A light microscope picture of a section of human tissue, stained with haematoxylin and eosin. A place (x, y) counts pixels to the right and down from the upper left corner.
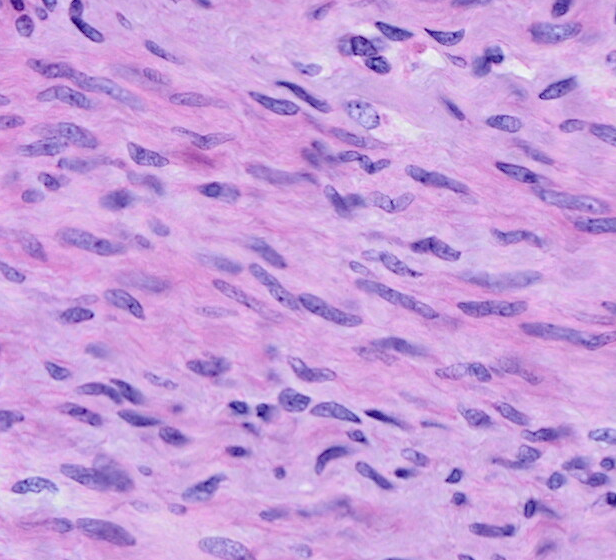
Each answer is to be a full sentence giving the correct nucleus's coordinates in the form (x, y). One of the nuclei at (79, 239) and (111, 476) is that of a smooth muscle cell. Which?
The nucleus at (79, 239) is housed in a smooth muscle cell.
